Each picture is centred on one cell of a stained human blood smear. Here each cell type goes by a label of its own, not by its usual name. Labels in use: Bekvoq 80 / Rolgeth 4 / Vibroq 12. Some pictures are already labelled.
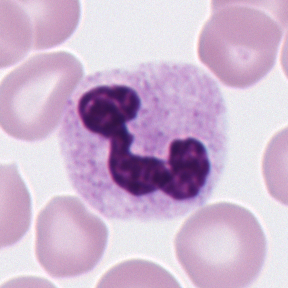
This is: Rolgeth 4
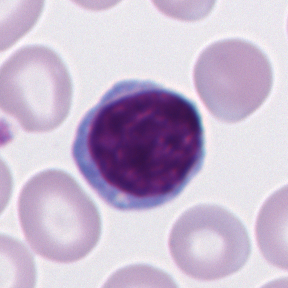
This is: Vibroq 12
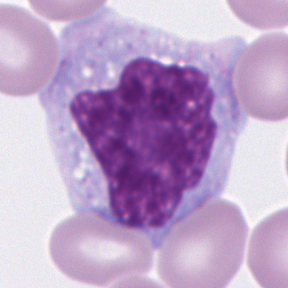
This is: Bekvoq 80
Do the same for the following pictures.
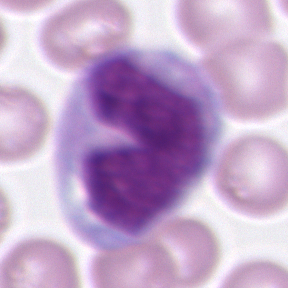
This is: Bekvoq 80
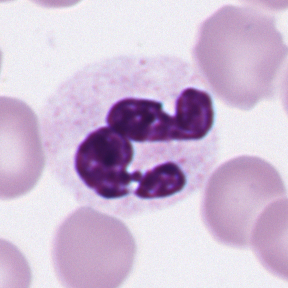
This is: Rolgeth 4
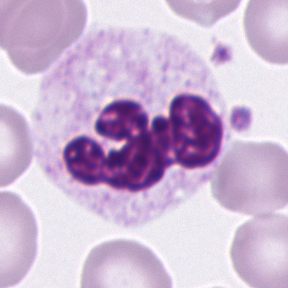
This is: Rolgeth 4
